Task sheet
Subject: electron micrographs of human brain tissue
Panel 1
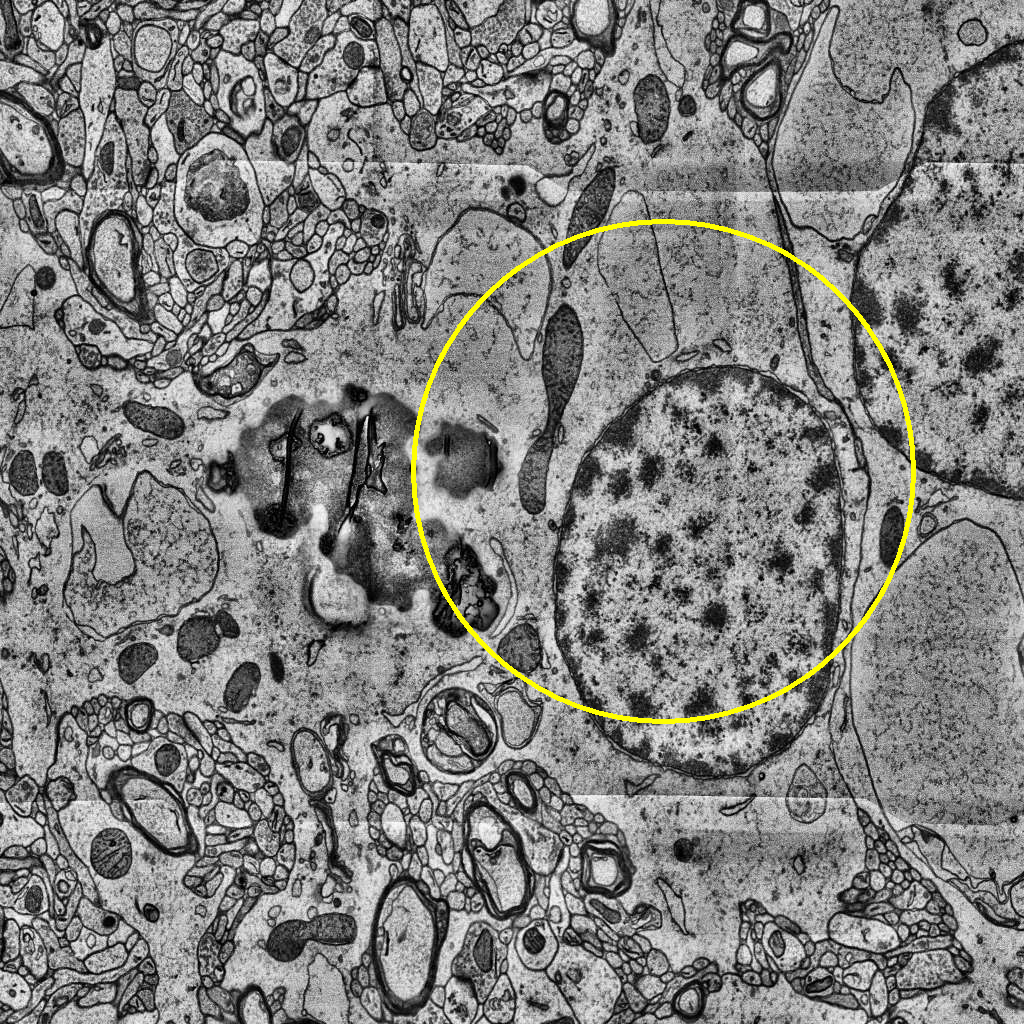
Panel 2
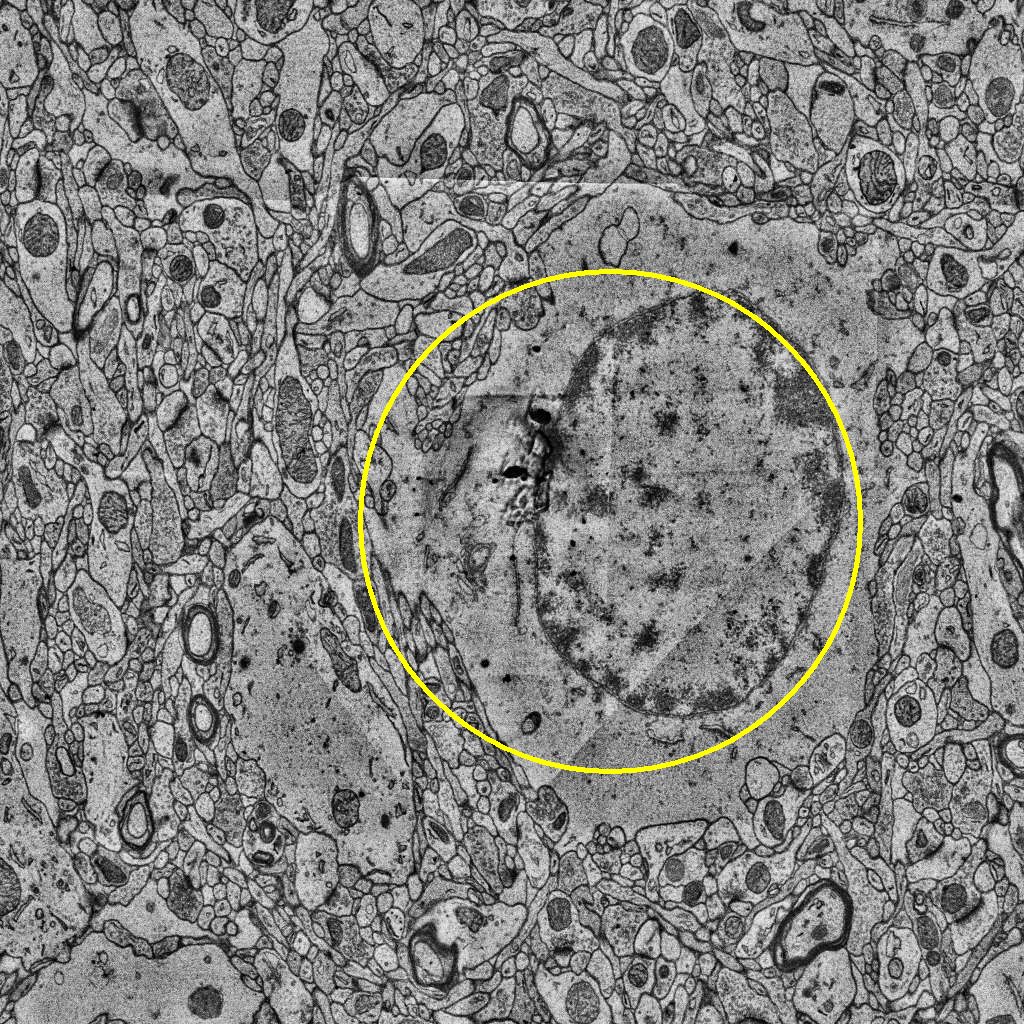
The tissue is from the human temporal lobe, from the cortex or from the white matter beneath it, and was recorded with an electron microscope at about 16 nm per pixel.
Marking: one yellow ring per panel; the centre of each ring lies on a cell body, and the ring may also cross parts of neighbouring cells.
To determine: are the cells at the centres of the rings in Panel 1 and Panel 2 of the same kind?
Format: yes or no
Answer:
yes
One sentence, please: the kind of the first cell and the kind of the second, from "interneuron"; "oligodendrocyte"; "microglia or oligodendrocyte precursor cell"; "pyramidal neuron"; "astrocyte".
The cell in the first picture is an astrocyte, and so is the one in the second.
